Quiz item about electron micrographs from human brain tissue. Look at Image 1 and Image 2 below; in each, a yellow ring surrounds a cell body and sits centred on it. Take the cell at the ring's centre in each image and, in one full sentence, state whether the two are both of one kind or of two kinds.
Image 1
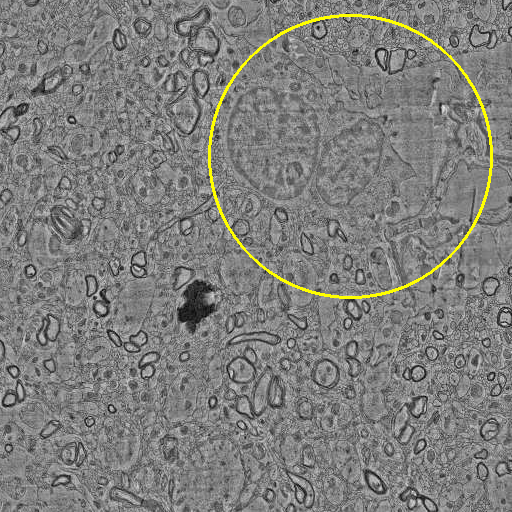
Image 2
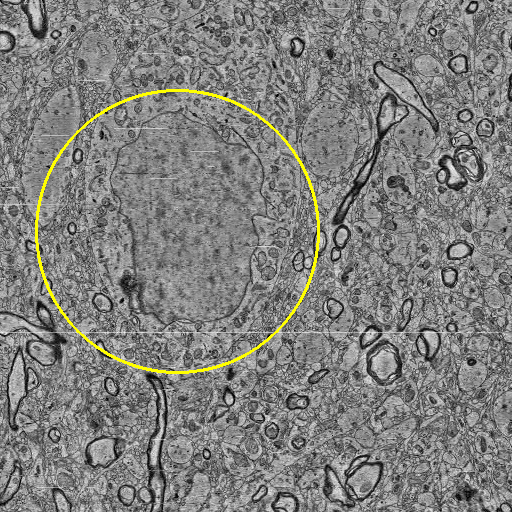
In Image 1 and Image 2, the cells at the ring centres are of two kinds.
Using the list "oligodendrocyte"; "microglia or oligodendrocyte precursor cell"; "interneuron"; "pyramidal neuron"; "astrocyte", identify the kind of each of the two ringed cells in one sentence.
The first is an oligodendrocyte and the second is an interneuron.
